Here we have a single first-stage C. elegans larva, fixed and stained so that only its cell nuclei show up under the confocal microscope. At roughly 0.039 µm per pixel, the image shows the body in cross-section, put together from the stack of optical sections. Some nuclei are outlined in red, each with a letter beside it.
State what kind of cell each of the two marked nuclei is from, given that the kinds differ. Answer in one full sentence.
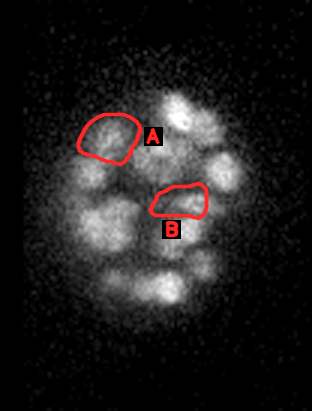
B belongs to a pharyngeal muscle cell, and A to a body wall muscle cell.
